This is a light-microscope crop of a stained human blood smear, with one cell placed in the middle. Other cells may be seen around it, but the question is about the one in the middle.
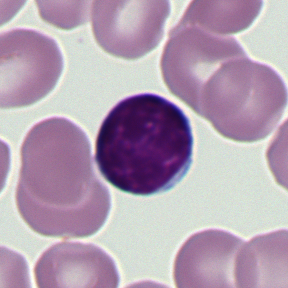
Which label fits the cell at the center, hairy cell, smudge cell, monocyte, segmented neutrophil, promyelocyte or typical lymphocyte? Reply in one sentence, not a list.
The cell in the exact centre of the crop is a typical lymphocyte.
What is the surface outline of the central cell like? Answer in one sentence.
Happy to help: the outline is smooth and shows no projections.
